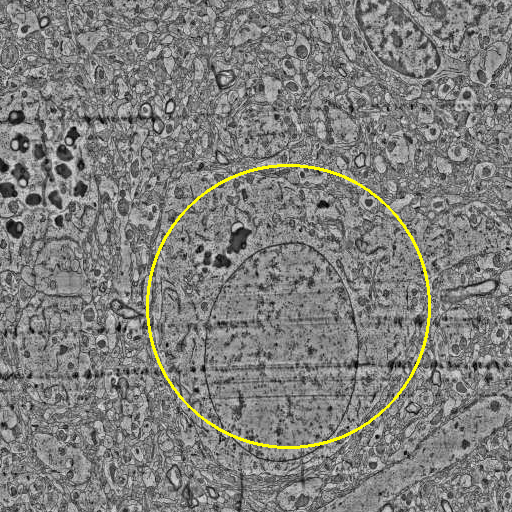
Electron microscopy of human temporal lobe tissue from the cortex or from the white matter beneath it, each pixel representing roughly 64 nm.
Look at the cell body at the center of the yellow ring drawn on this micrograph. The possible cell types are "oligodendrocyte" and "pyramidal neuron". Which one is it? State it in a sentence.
The cell in the middle of the ring is a pyramidal neuron.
